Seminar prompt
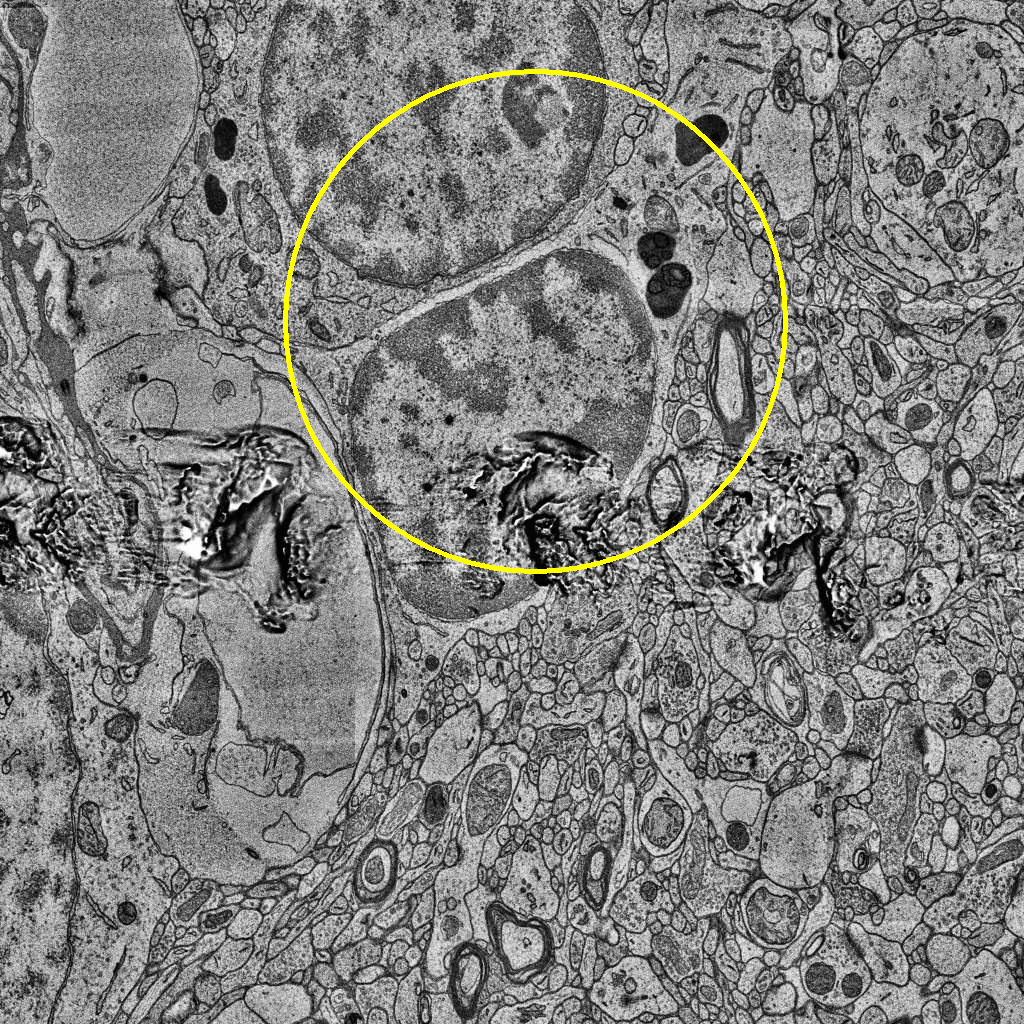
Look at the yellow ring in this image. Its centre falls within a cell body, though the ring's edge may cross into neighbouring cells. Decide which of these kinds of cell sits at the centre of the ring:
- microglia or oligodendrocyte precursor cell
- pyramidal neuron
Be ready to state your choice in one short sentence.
The kind of cell at the ring's centre is a microglial cell or oligodendrocyte precursor cell.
